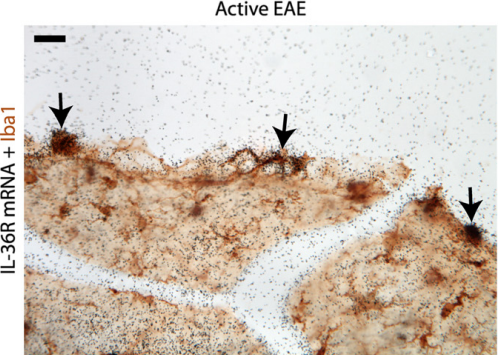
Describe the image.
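This is a section of central nervous tissue with its outer surface running across the upper part and a pale cleft dividing the tissue below. Red-brown stained cells with slender branching processes are spread through the tissue, giving it a fine brown meshwork. The brown staining is densest along the tissue surface, where stained cells and processes crowd together. Black silver grains lie thinly over the whole field, but form dense dark clusters over a few brown cells that sit at the surface. The pale cleft and the space outside the tissue carry only sparse scattered grains.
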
